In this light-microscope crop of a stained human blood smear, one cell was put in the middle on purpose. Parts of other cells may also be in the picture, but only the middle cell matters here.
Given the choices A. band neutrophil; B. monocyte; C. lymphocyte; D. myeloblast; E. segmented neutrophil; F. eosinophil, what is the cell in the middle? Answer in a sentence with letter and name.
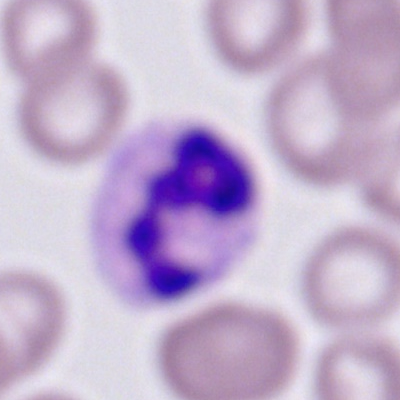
That cell in the center is a segmented neutrophil, hence option E.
